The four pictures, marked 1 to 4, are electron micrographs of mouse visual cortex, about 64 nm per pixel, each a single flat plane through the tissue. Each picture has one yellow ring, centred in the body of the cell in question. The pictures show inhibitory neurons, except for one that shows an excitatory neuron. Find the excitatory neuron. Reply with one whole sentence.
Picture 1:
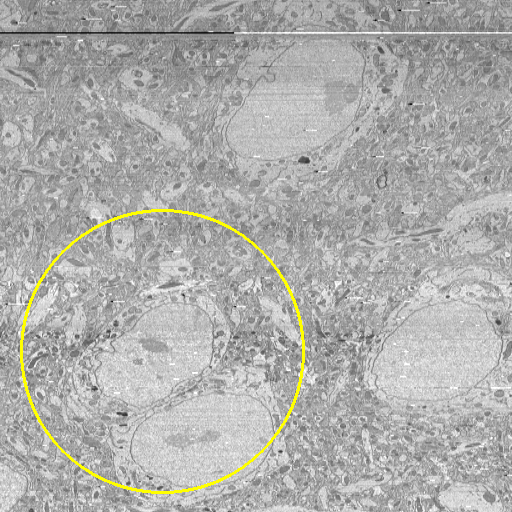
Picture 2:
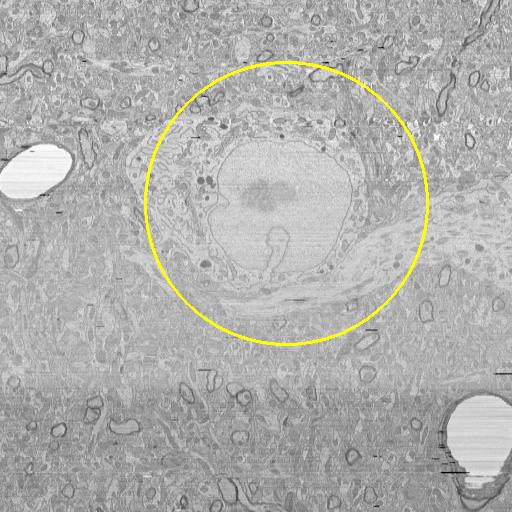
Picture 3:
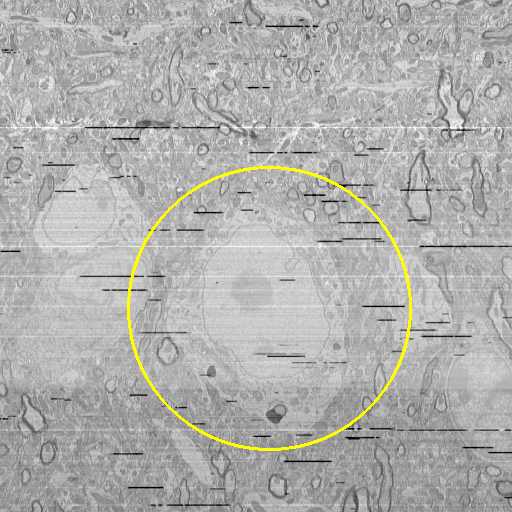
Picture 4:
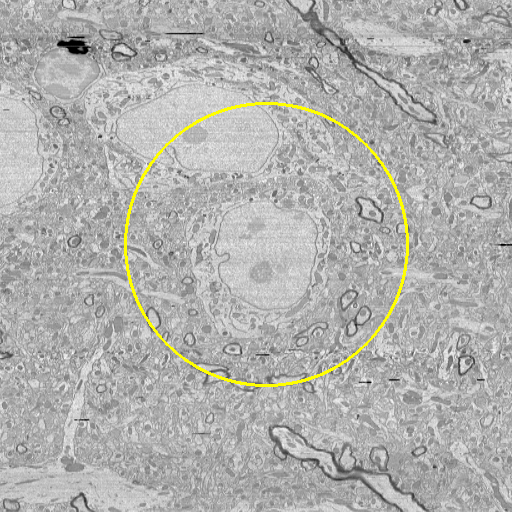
The excitatory neuron is the one in picture 3.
